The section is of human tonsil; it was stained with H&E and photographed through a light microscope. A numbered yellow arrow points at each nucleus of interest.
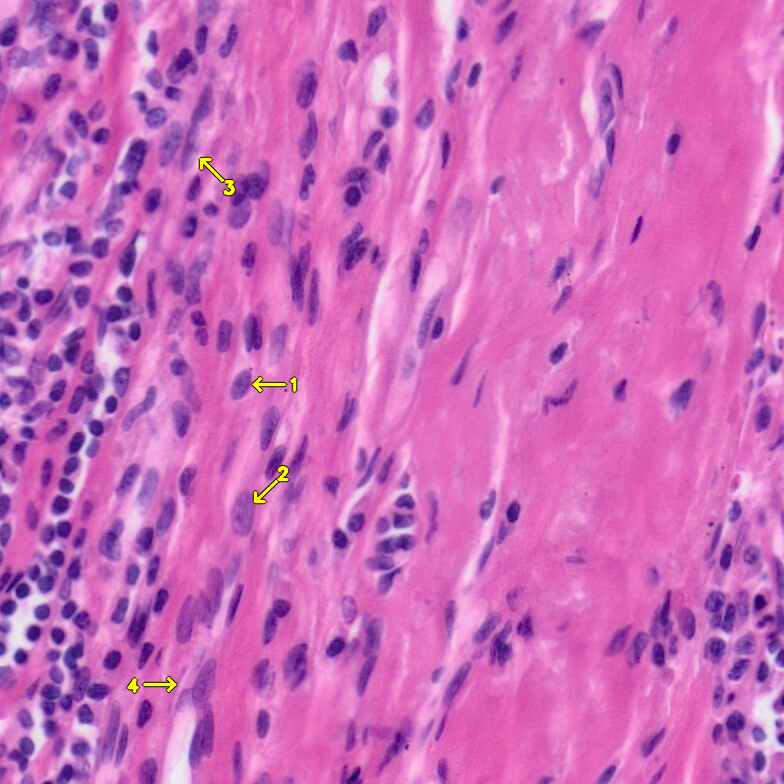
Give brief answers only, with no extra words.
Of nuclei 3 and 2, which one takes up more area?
2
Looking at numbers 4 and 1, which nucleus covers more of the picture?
4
